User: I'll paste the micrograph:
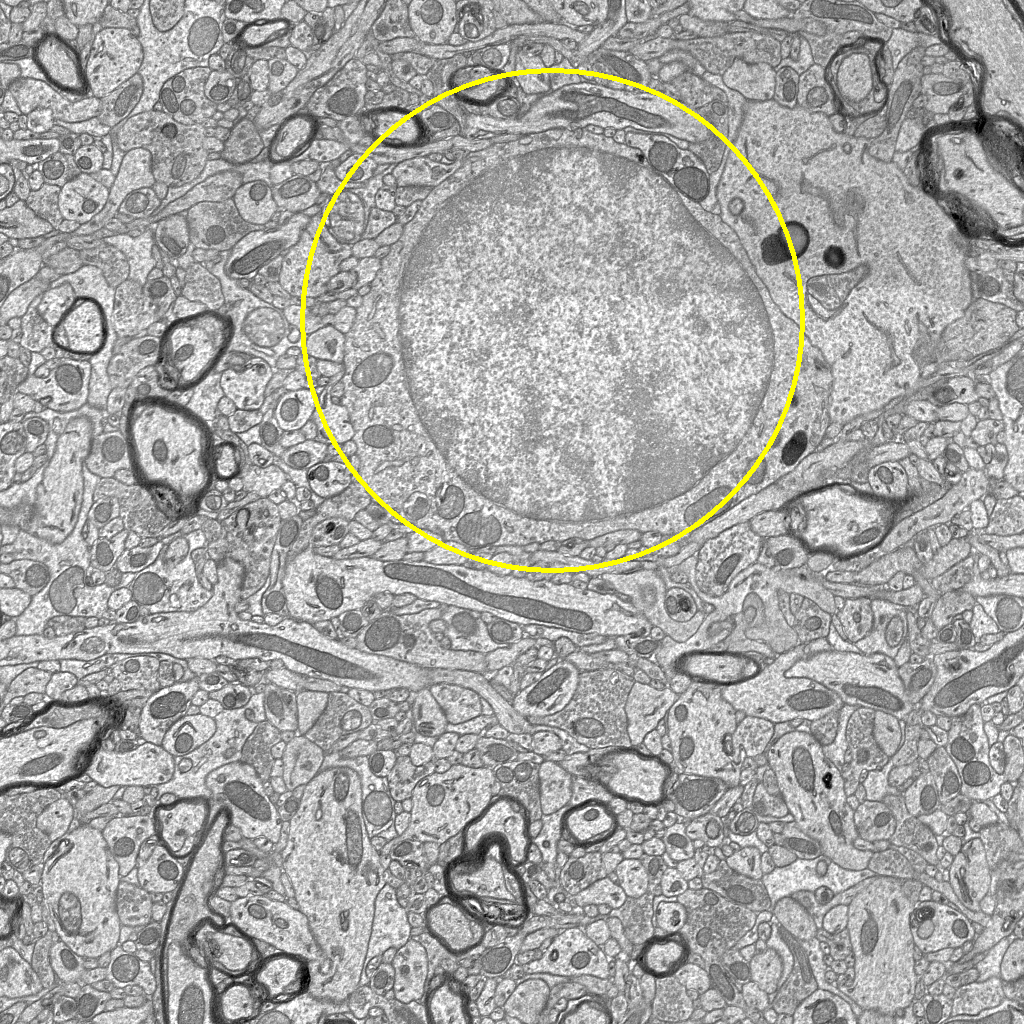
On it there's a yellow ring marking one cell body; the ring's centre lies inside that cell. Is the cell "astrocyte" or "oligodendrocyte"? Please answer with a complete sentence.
The cell at the centre of the yellow ring is an oligodendrocyte.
